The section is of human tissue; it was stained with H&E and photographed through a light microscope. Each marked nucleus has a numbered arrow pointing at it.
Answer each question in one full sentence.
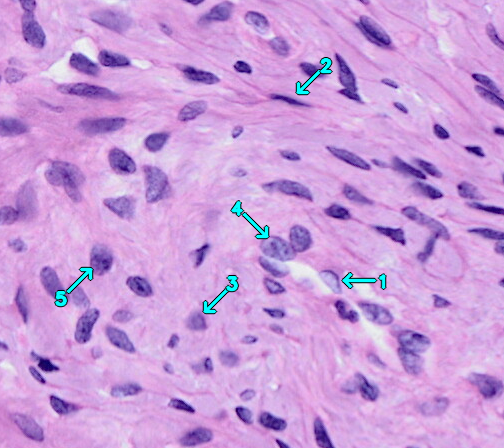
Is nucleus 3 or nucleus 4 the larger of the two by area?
Of the two, number 4 is bigger and takes up about 2 times the area of number 3.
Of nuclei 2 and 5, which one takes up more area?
Nucleus 5 covers more area, about 2 times as much as nucleus 2.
